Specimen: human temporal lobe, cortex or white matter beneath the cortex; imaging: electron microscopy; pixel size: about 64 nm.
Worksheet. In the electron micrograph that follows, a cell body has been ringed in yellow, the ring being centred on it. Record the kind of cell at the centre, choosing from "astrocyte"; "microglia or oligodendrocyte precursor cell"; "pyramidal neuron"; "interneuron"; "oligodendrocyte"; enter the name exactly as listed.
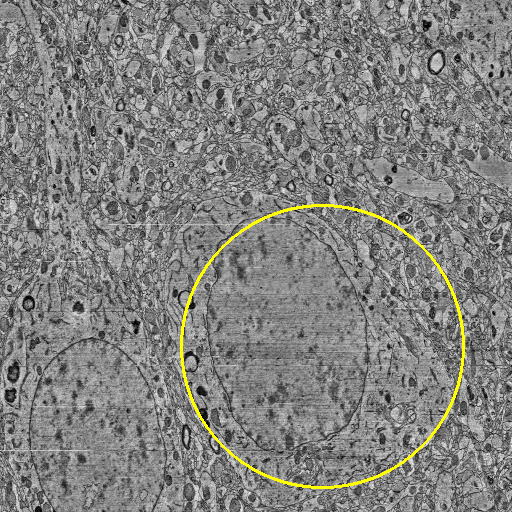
pyramidal neuron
